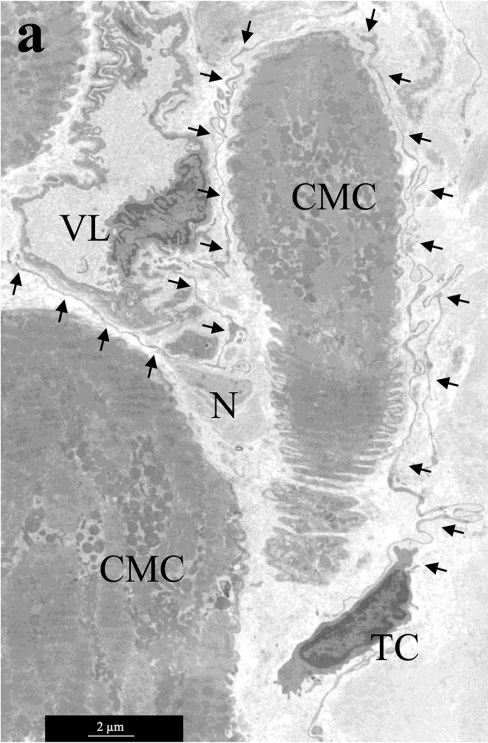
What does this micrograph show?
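The telocyte at the bottom is spindle-shaped, with an elongated dark nucleus and only a thin rim of cytoplasm around it. From it run very long, thin, partly wavy processes that wind along the surface of a cardiomyocyte and around the vessel and nerve bundle. The cardiomyocytes are large and packed with myofibrils and numerous mitochondria. The vessel shows a lumen bordered by a cell with an irregular dark nucleus.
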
